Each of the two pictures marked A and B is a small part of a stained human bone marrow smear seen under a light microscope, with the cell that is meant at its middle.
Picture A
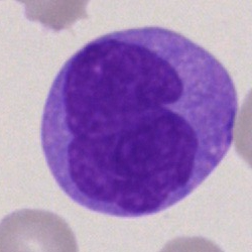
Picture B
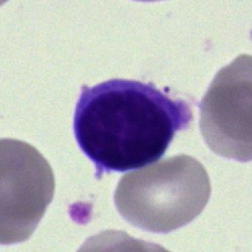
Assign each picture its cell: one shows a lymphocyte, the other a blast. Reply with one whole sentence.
The cell in picture A is a blast, and the one in picture B is a lymphocyte.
